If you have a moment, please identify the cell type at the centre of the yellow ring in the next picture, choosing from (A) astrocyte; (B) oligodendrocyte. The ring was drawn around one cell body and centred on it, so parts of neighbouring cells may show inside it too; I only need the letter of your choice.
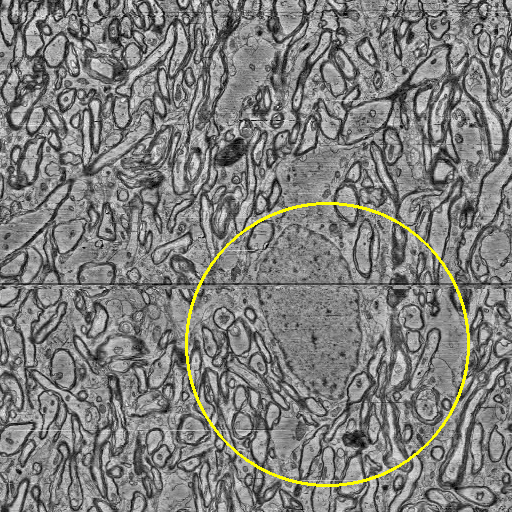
A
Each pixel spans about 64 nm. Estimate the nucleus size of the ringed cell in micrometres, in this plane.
In this plane the nucleus measures roughly 12 by 6 micrometres.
